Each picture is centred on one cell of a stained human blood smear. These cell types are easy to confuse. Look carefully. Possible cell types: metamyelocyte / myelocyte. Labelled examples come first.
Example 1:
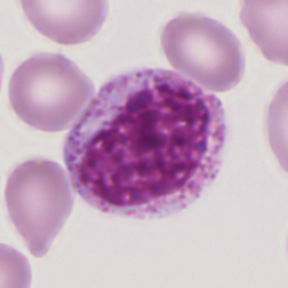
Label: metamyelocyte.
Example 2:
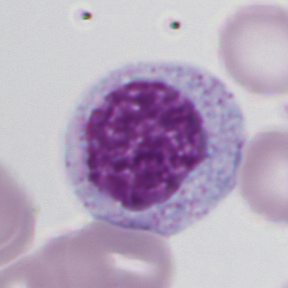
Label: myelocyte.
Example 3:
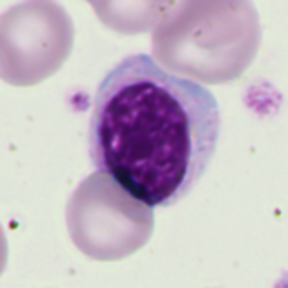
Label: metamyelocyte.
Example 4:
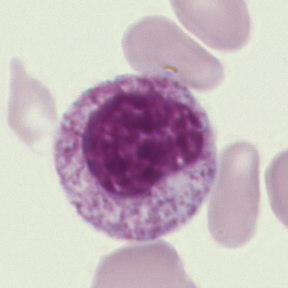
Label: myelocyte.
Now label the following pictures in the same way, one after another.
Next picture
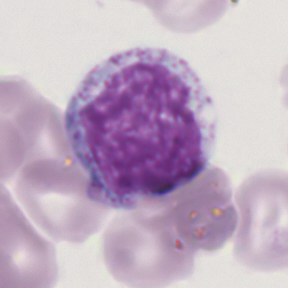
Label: myelocyte.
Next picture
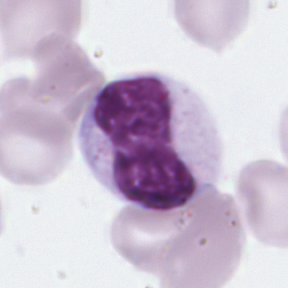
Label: metamyelocyte.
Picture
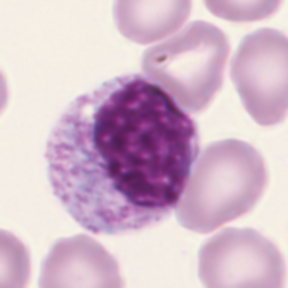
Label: metamyelocyte.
